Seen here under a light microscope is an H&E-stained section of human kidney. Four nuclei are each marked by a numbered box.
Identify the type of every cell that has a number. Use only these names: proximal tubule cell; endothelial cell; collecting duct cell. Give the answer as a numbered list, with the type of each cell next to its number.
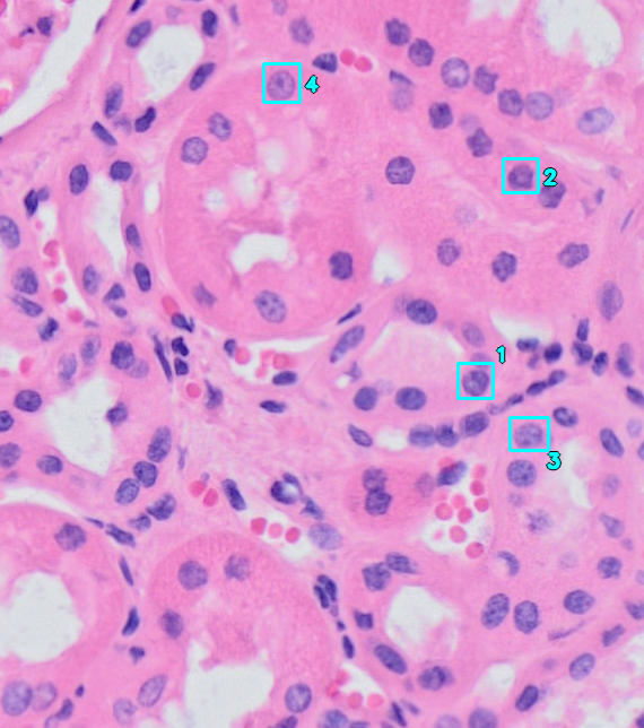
1. collecting duct cell
2. proximal tubule cell
3. collecting duct cell
4. proximal tubule cell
